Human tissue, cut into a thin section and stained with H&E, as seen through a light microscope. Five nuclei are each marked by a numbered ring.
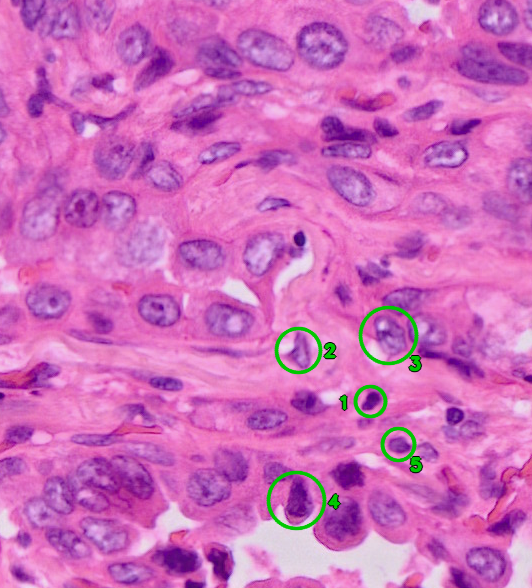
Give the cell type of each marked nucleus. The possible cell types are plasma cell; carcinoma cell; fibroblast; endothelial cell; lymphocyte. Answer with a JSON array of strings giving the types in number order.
["lymphocyte", "fibroblast", "carcinoma cell", "carcinoma cell", "lymphocyte"]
